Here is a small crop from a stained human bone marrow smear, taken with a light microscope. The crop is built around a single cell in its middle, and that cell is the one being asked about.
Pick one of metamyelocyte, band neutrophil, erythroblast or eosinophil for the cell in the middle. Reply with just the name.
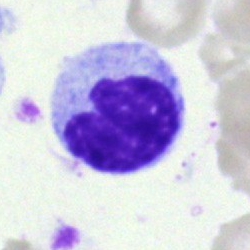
metamyelocyte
